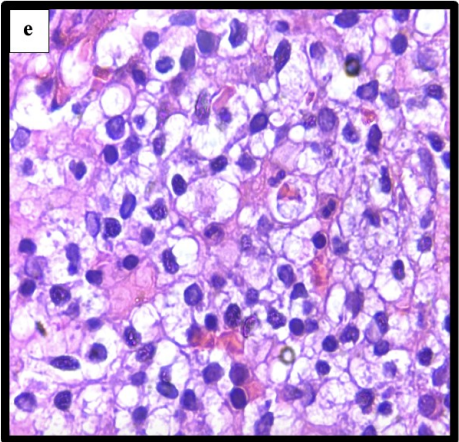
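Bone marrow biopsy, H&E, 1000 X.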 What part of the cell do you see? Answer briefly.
distinct cell borders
